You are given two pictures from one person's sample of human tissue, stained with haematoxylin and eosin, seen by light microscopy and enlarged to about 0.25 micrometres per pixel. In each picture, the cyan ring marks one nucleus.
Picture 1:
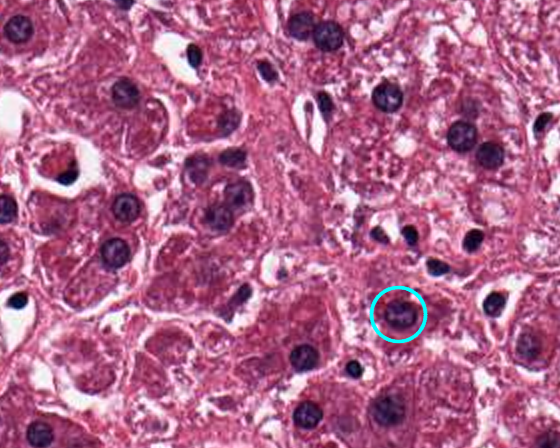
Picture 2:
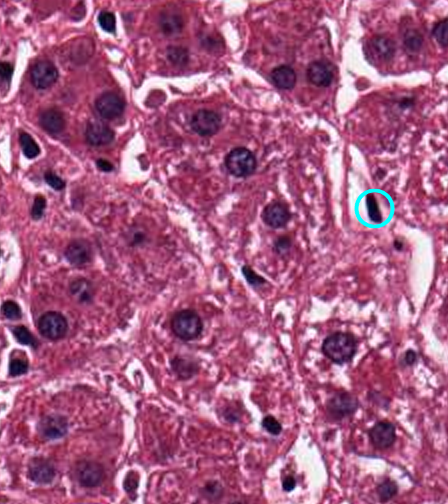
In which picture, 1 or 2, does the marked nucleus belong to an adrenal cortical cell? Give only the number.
1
